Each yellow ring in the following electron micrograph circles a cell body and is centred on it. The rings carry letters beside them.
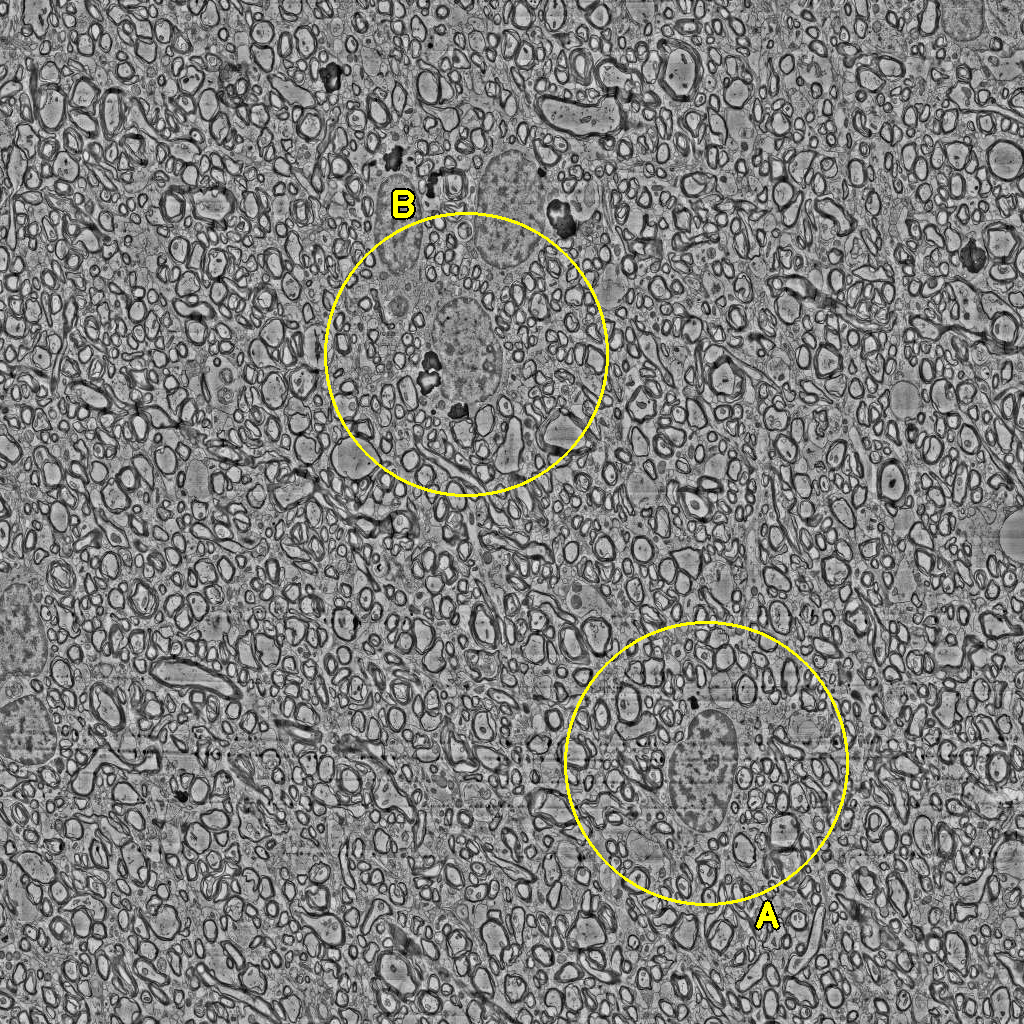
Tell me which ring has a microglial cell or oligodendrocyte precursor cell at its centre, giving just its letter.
A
